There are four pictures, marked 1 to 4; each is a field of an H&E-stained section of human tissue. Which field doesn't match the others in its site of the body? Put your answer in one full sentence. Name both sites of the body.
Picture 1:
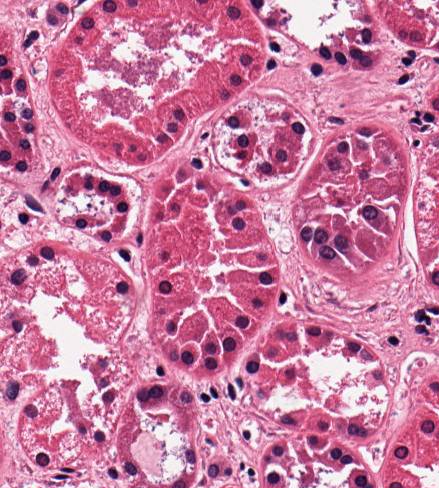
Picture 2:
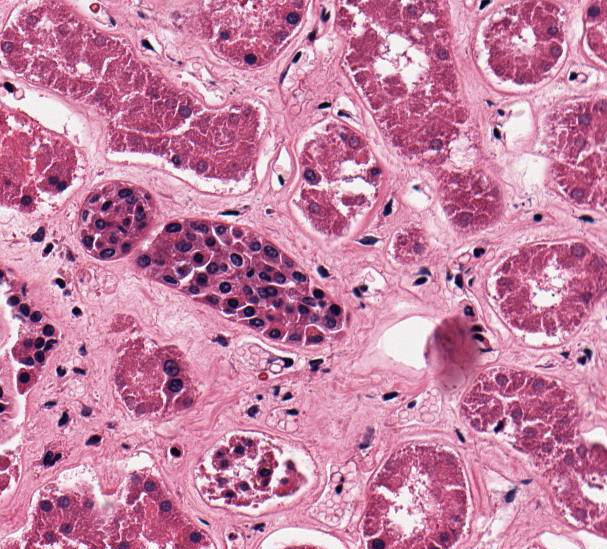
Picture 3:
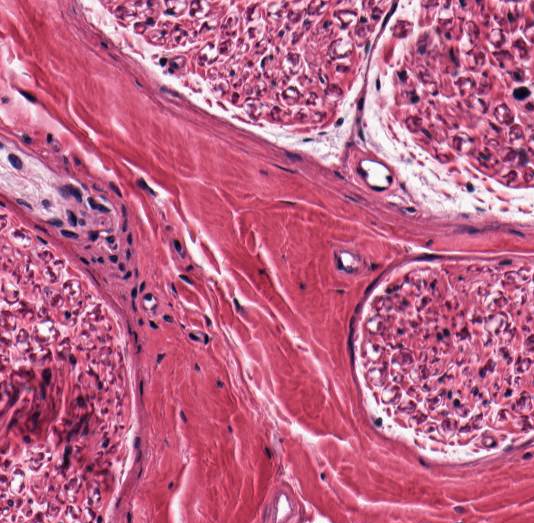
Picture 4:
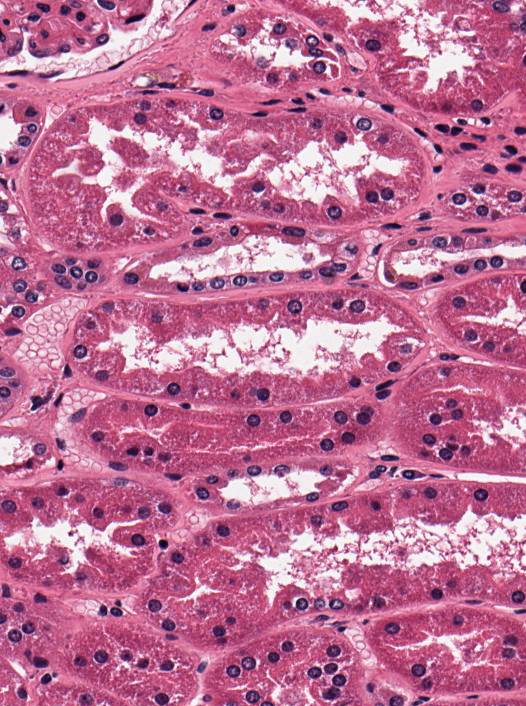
Picture 3 is the odd one out: it comes from the tibial nerve, while the others come from the renal cortex.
